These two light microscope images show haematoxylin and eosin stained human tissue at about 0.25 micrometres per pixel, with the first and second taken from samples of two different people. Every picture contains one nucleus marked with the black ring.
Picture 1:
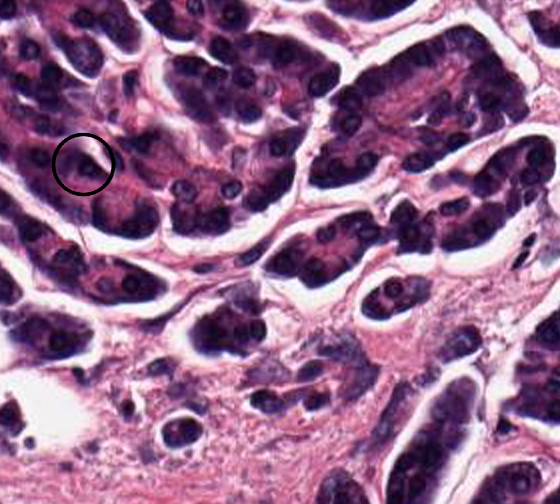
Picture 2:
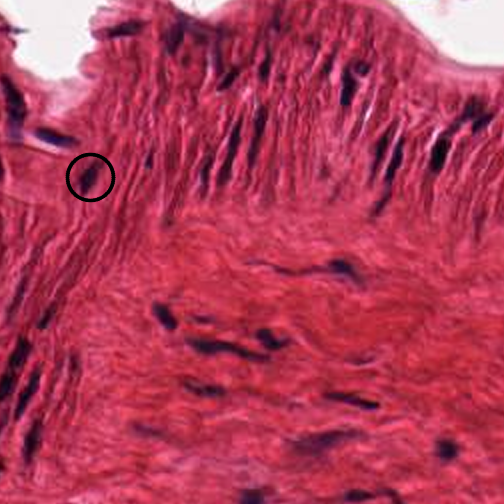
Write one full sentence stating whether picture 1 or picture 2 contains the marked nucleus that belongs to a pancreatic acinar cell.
The marked nucleus in picture 1 is found within a pancreatic acinar cell.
